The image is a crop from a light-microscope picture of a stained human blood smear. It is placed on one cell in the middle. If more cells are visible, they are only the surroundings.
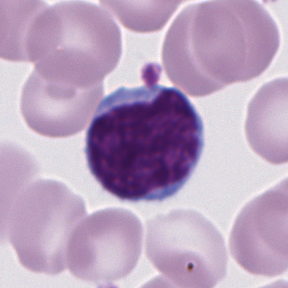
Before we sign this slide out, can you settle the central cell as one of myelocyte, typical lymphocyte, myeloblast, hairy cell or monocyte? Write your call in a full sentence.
The crop centres on a single cell, and that cell is a typical lymphocyte.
